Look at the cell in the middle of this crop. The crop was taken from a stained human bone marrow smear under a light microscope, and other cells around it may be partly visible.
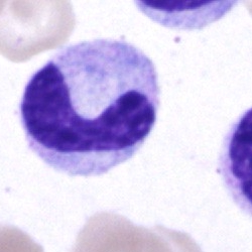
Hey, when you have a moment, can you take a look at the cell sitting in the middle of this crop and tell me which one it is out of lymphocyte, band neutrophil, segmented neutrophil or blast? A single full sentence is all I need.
The cell positioned in the middle of the field is a band neutrophil.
